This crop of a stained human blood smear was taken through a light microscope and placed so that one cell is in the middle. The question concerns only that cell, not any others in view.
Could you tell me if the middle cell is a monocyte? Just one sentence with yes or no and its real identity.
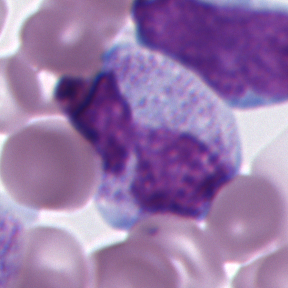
No, the cell at the centre is identified as a band neutrophil, not as a monocyte.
